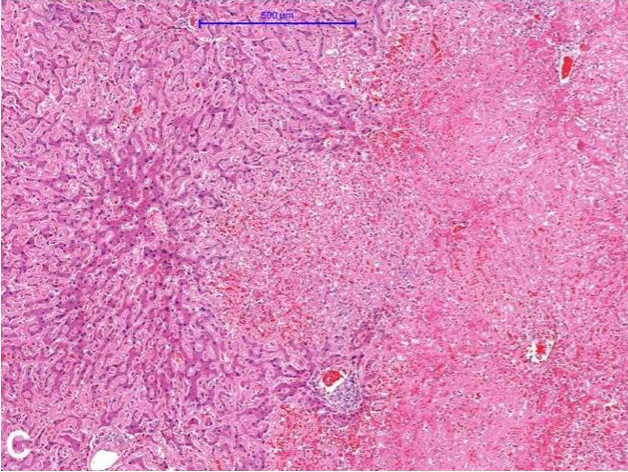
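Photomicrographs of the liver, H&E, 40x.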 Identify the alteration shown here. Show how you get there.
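The right part of the field has lost its hepatocyte plates and nuclei. Extravasated red blood cells are scattered through the pale right-hand area. The left part keeps recognisable cords of hepatocytes with nuclei, with an irregular border between the two.
Answer: geographic hemorrhagic hepatic necrosis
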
